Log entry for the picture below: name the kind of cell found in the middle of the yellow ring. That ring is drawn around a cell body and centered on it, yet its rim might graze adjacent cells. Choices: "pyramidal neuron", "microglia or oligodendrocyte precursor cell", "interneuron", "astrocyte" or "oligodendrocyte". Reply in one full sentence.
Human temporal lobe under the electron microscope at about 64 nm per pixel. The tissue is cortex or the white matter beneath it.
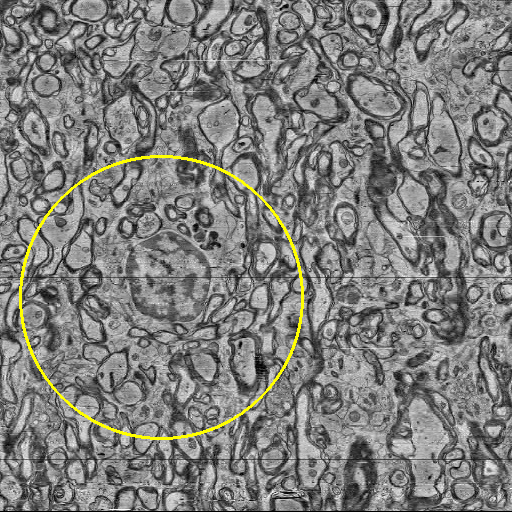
The cell in the middle of the yellow ring in this picture is a microglial cell or oligodendrocyte precursor cell.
